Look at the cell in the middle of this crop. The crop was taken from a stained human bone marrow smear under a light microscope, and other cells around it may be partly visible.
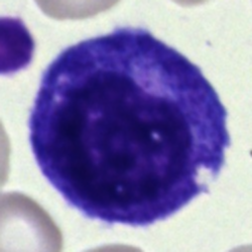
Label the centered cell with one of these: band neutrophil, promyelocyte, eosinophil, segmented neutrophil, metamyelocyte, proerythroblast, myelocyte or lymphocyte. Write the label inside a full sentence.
The crop shows a promyelocyte in its centre.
